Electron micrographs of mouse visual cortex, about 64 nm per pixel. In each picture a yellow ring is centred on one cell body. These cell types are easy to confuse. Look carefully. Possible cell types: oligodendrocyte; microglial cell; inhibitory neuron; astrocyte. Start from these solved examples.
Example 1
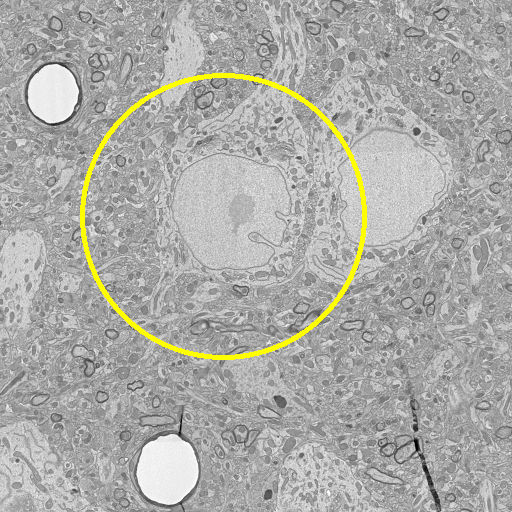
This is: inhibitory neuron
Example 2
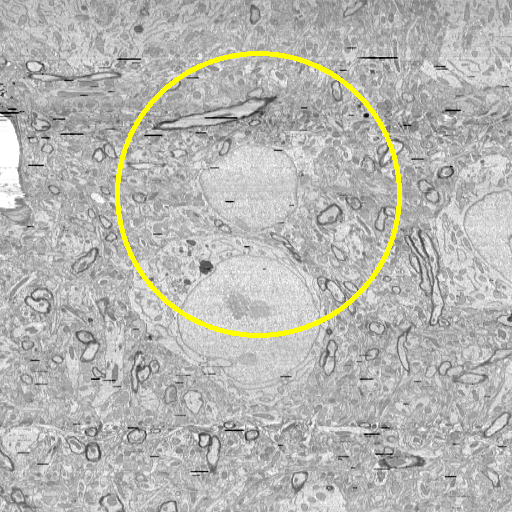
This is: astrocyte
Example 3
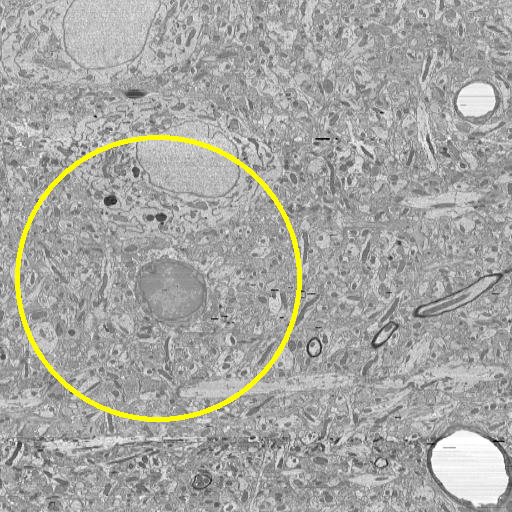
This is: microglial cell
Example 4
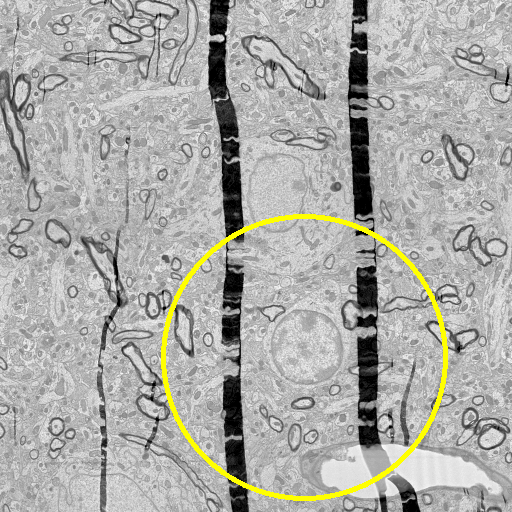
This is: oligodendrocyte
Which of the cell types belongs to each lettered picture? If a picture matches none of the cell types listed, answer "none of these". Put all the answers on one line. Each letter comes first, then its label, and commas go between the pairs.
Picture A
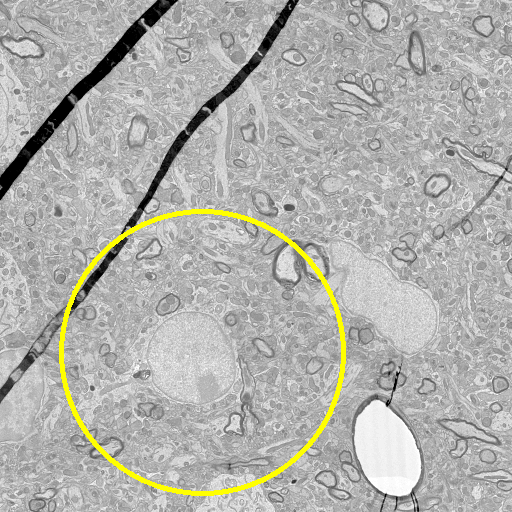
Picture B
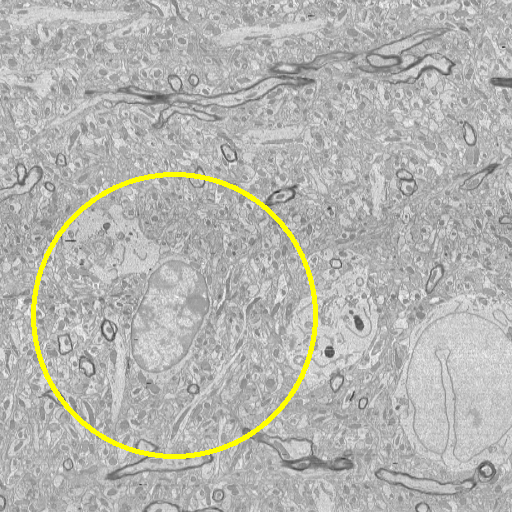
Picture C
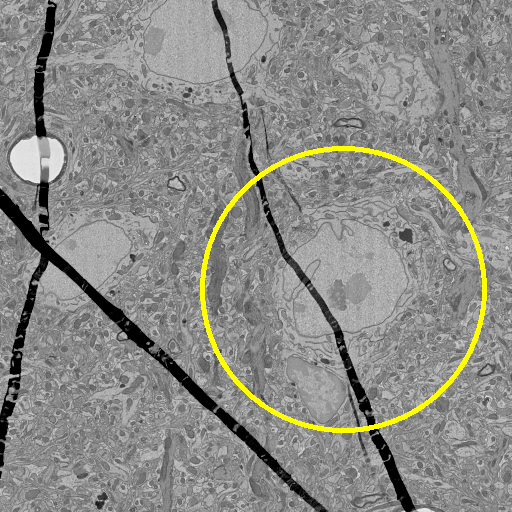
A astrocyte, B oligodendrocyte, C inhibitory neuron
